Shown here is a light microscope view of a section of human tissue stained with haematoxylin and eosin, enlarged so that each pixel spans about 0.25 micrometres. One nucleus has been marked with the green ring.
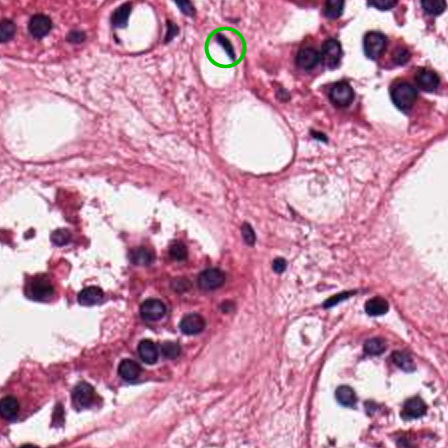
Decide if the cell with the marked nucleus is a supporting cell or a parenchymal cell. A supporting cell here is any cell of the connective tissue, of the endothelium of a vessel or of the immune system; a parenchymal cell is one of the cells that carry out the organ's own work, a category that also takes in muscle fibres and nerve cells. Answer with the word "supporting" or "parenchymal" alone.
supporting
